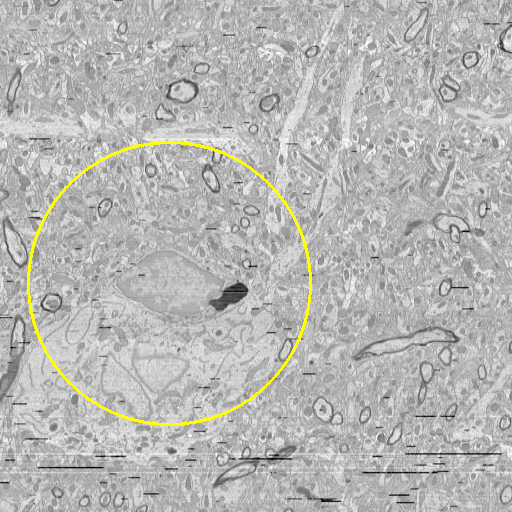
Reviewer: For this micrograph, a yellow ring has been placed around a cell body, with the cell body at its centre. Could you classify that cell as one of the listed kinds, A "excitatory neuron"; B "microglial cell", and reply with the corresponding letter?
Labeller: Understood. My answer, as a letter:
B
